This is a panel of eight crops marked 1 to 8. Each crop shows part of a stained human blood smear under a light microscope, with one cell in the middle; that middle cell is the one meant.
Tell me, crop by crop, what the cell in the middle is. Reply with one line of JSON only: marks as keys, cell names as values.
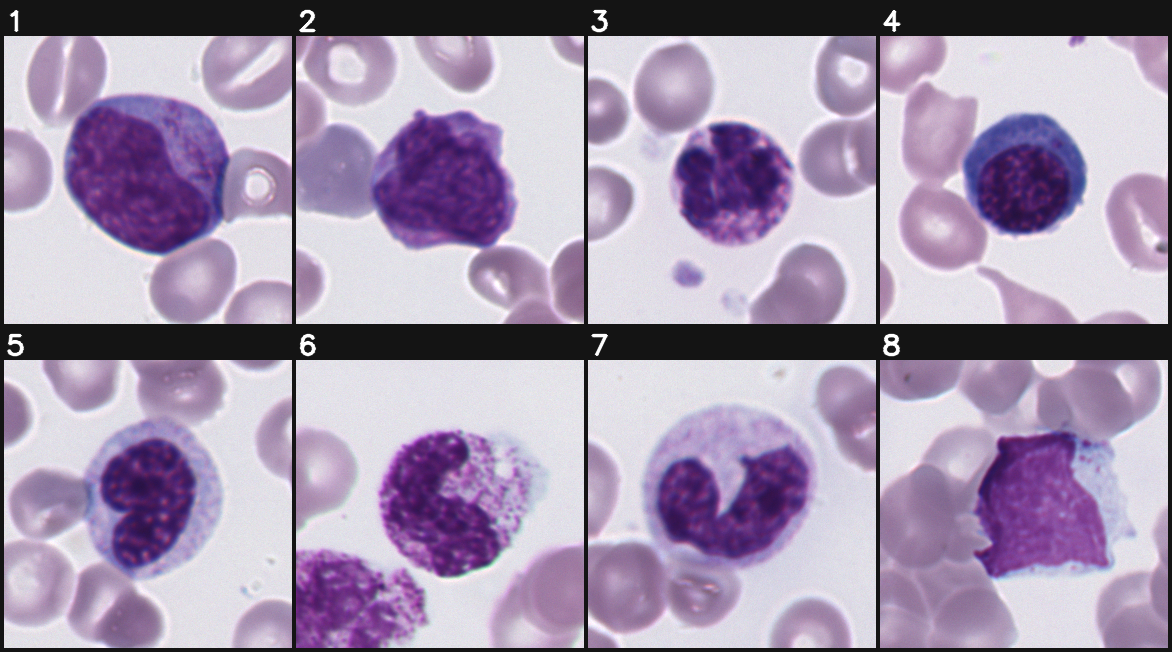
{"1": "promyelocyte", "2": "atypical promyelocyte", "3": "basophil", "4": "normoblast", "5": "band neutrophil", "6": "band neutrophil", "7": "band neutrophil", "8": "large granular lymphocyte"}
